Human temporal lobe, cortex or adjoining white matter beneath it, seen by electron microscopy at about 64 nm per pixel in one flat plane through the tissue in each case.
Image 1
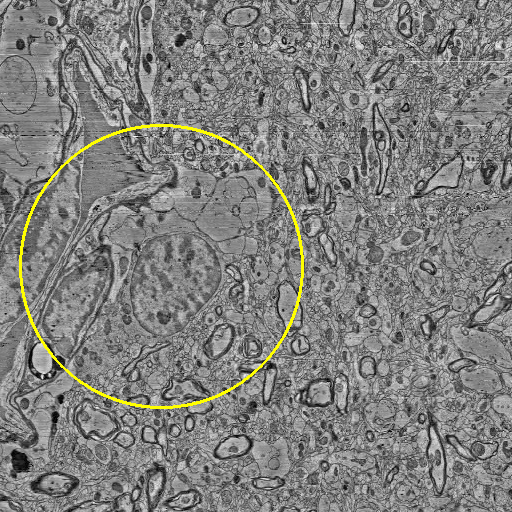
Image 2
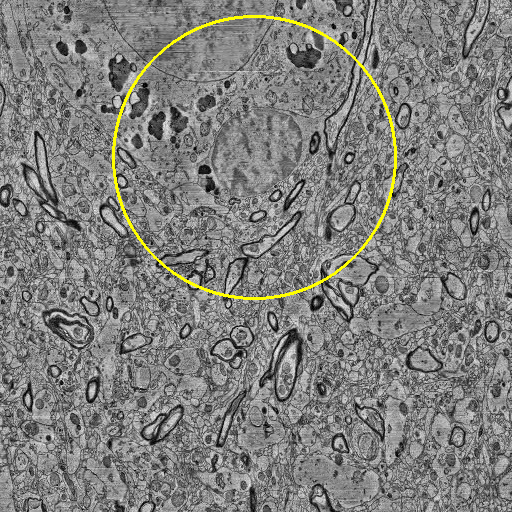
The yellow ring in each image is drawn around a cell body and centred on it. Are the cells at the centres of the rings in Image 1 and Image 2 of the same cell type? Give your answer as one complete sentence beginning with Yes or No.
Yes, both cells are of the same type.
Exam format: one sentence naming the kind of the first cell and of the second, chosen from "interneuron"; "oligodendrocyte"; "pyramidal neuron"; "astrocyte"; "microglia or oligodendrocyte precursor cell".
Both pictures show an oligodendrocyte at the centre of the ring.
